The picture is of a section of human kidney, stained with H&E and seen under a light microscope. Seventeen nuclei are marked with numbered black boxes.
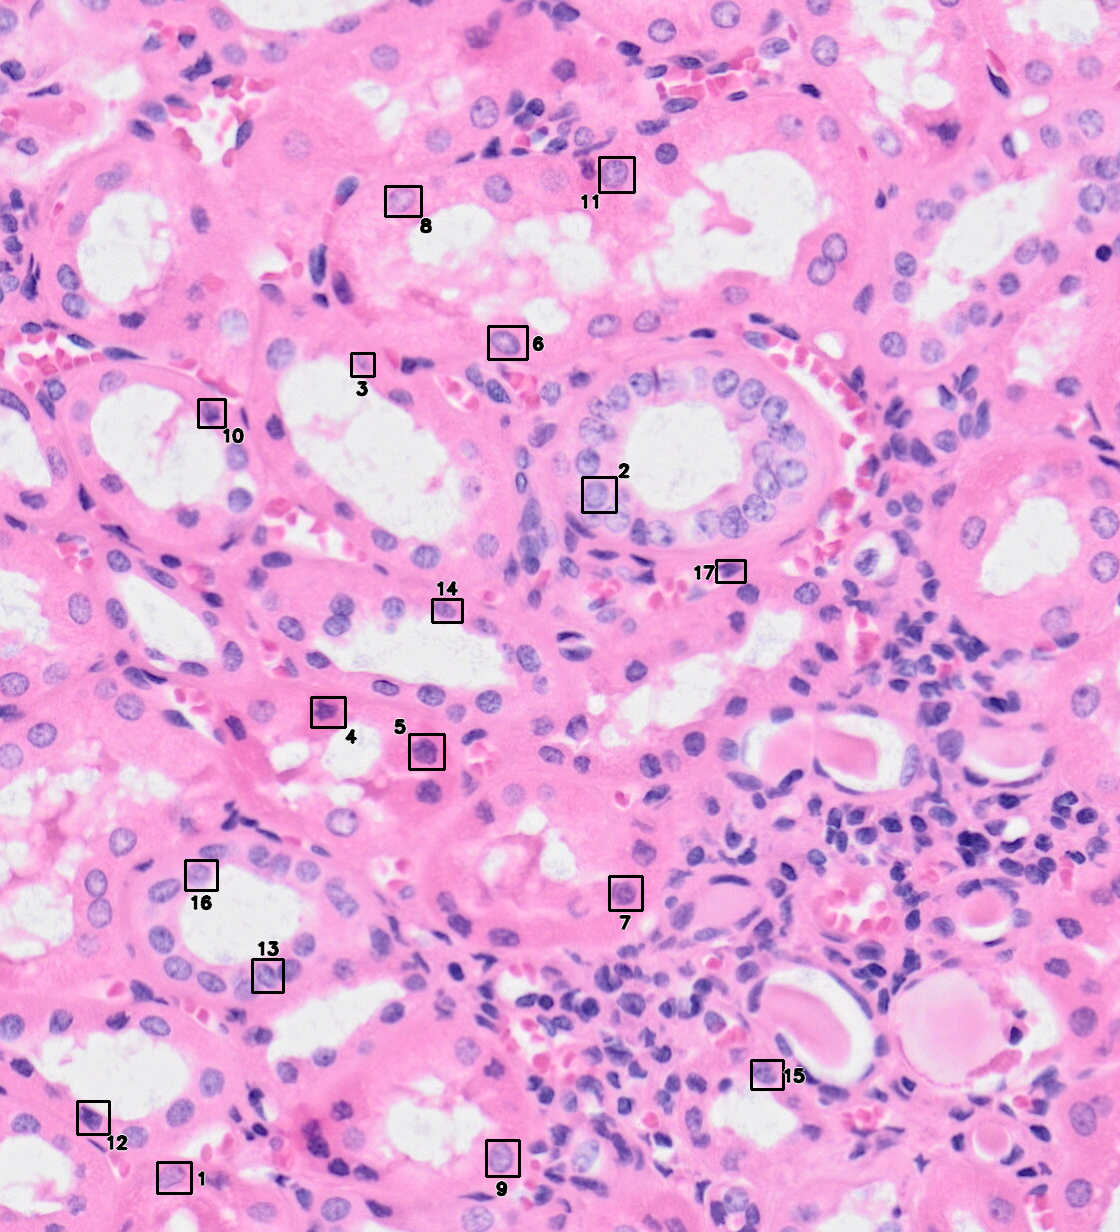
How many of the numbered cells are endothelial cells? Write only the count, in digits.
1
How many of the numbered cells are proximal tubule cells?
8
